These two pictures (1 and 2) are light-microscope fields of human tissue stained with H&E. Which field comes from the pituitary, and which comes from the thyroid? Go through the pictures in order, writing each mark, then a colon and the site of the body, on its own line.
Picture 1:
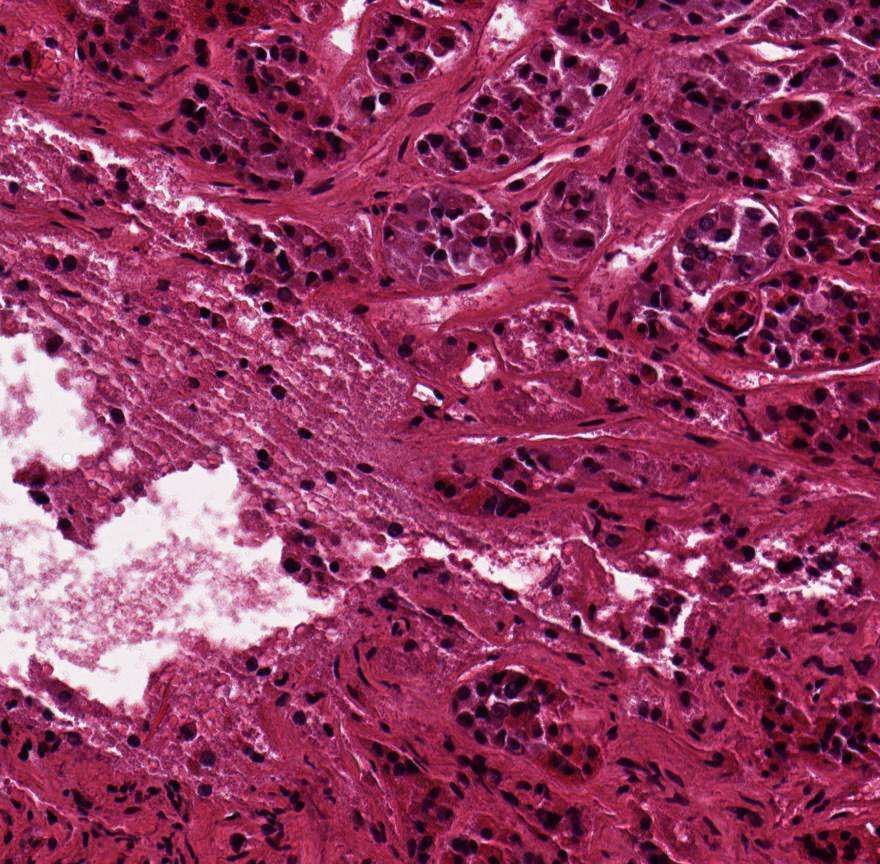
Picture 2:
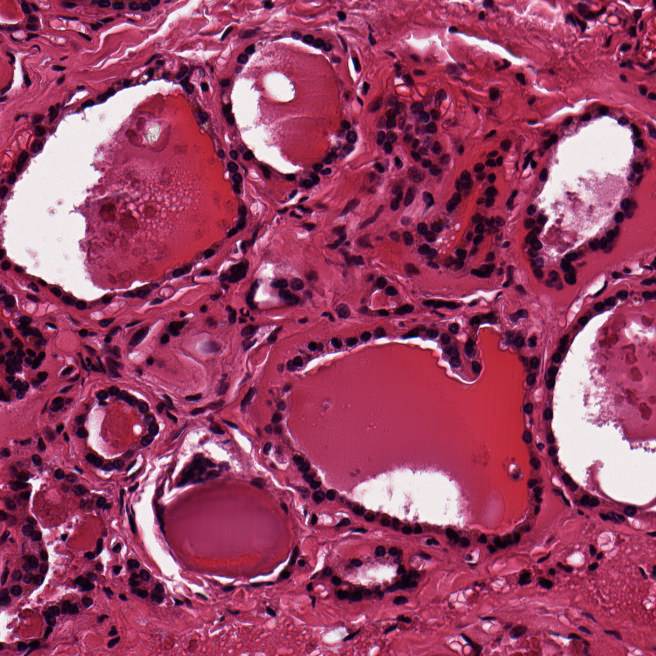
1: pituitary
2: thyroid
